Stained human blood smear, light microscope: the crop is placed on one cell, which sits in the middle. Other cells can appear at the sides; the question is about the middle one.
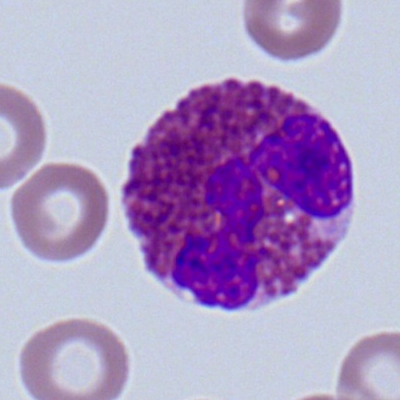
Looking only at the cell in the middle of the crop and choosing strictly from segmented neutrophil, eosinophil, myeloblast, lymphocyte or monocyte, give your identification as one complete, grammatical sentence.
The middle of this crop holds an eosinophil.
